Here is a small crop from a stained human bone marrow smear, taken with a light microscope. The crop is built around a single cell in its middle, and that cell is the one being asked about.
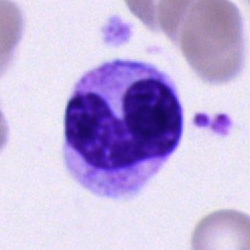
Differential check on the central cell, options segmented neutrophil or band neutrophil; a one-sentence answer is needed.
The cell in the middle of this crop is a band neutrophil.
